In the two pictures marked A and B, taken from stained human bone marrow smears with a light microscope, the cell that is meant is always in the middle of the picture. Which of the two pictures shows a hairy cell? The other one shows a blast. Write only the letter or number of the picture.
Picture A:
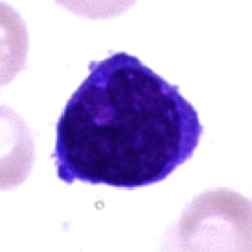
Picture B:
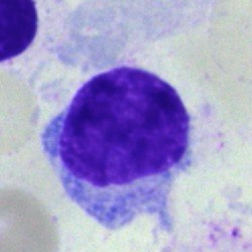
B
